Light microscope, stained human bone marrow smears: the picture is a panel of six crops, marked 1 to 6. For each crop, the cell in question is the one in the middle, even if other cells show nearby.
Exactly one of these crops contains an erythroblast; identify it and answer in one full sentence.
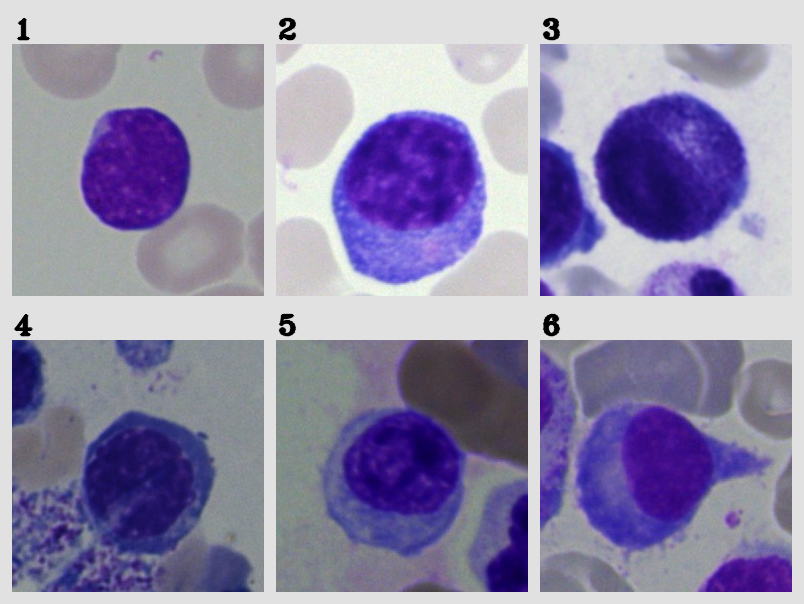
Crop 4 is the crop featuring an erythroblast at its center.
